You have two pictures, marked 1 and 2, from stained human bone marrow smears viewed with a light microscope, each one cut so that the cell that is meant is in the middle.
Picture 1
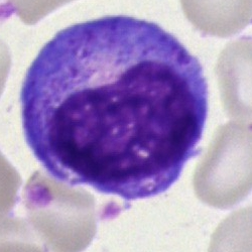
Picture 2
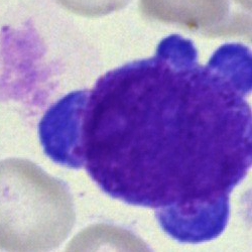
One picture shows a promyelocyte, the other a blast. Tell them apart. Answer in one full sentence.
Picture 1 shows a promyelocyte and picture 2 shows a blast.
